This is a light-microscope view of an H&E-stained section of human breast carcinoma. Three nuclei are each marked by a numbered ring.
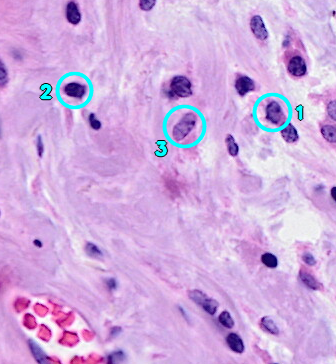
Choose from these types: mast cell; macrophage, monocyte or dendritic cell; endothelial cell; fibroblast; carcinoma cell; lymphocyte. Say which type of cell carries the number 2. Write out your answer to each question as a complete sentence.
The cell whose nucleus carries the number 2 is a lymphocyte.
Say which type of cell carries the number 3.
The correct answer for cell 3 is a macrophage, monocyte or dendritic cell.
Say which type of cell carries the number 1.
Nucleus 1 in this section belongs to a lymphocyte.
